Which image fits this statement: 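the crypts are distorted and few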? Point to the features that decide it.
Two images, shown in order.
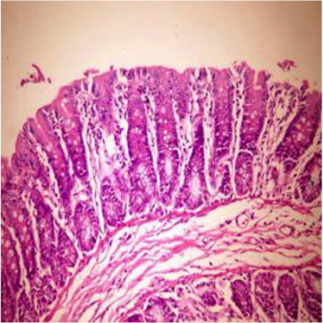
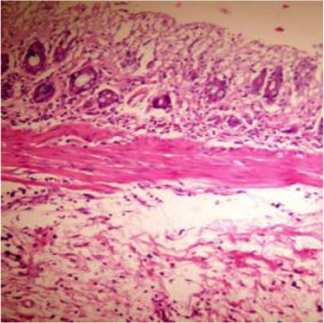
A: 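The second image. Second image: few small, irregular, widely spaced crypts in a cellular mucosa. First image: long, parallel, closely packed crypts running up to the surface.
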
